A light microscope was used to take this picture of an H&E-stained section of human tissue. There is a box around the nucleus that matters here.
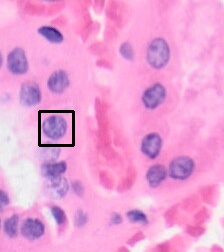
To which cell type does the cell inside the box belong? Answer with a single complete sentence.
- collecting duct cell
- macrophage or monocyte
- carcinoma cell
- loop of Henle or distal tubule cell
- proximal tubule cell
Speaking plainly, the cell inside the box is nothing other than a collecting duct cell.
